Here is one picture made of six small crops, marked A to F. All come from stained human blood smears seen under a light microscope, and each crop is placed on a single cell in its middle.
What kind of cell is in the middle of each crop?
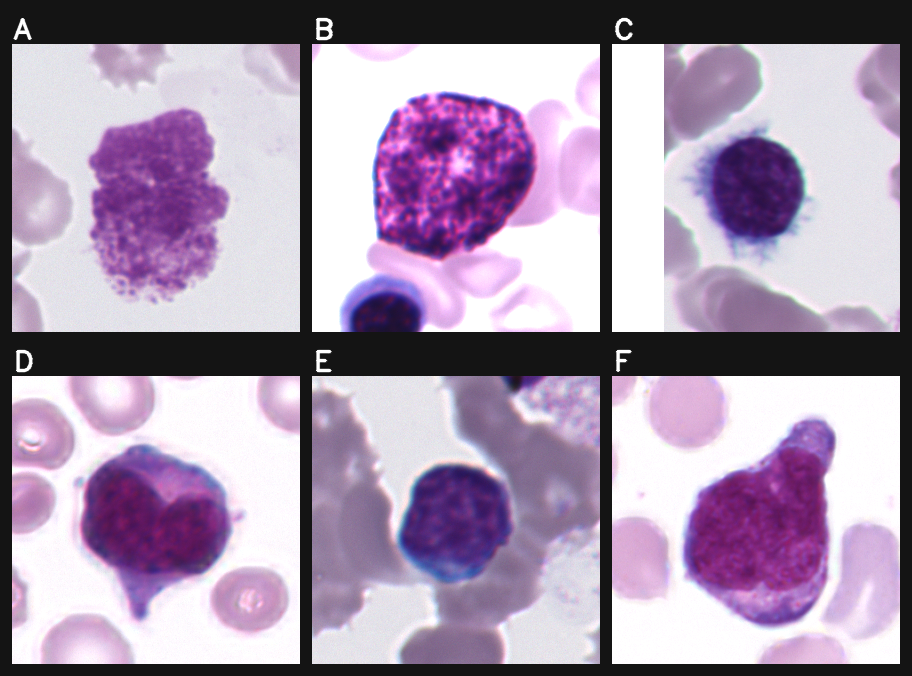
A: smudge cell
B: basophil
C: hairy cell
D: atypical promyelocyte
E: typical lymphocyte
F: atypical promyelocyte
